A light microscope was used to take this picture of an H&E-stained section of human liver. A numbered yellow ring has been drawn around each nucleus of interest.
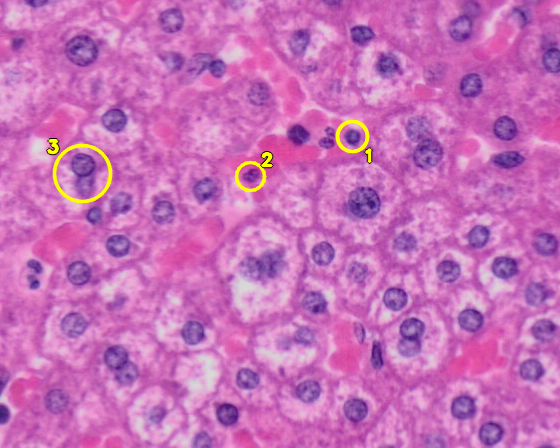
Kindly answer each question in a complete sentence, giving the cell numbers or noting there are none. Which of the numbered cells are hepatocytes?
The numbered cell that is a hepatocyte is cell 3, and it is the only one.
